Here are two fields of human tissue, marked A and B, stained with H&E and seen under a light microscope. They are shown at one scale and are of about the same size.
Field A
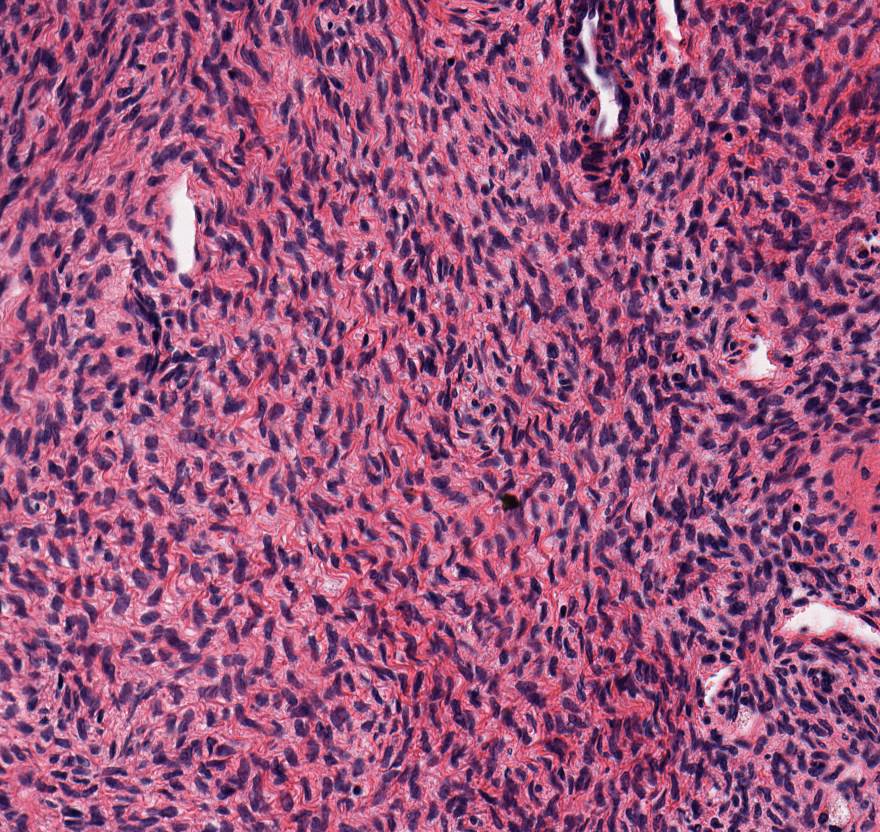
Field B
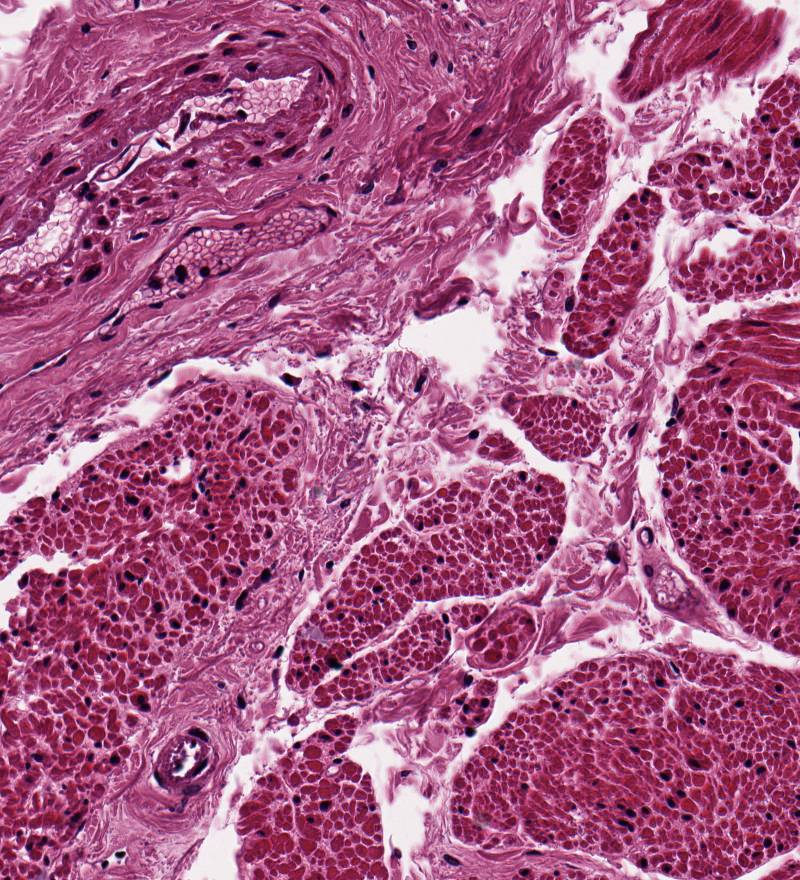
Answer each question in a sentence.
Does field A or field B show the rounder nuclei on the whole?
Rounder nuclei lie in field B.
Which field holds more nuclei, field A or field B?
More nuclei lie in field A than in field B.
